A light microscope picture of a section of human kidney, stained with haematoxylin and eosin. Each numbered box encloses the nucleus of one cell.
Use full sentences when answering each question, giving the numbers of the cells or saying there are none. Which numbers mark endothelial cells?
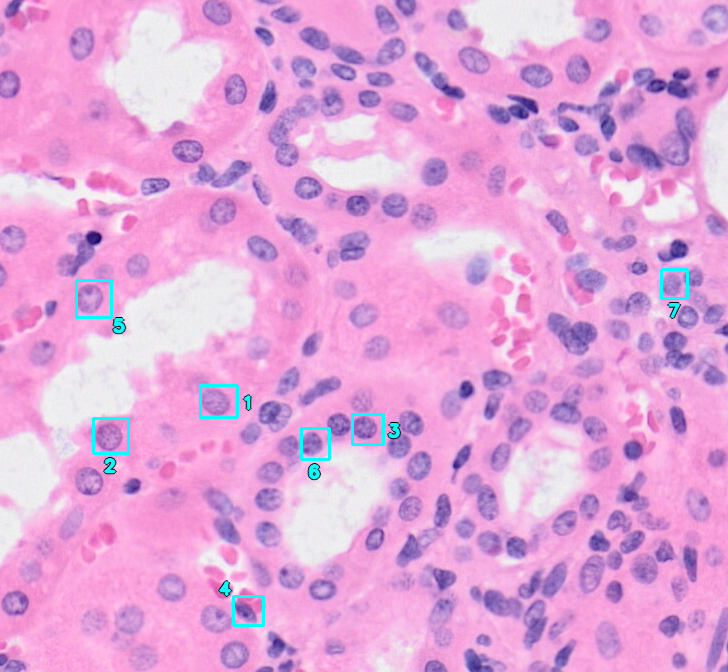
Among the marked cells, cell number 4 alone is an endothelial cell.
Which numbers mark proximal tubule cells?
The cells that the numbers 1, 2 and 5 belong to are proximal tubule cells.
